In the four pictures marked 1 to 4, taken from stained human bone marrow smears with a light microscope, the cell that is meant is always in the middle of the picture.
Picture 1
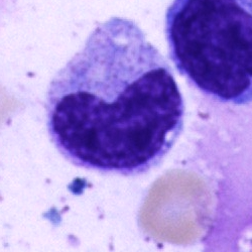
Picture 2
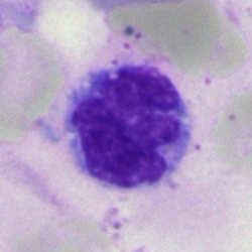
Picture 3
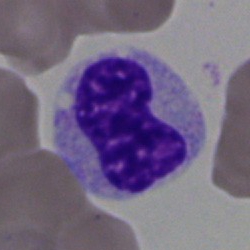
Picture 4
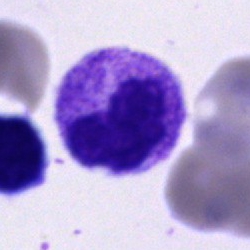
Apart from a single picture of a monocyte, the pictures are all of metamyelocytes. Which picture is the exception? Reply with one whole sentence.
The monocyte is the one in picture 2.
